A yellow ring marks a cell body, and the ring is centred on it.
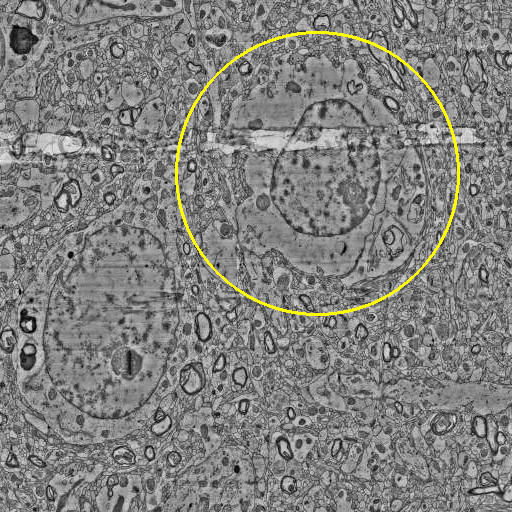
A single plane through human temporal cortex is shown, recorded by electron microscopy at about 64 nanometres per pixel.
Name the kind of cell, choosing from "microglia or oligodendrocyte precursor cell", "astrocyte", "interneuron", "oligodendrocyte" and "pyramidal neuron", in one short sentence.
The marked cell body belongs to an astrocyte.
